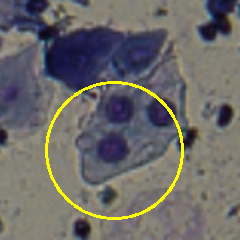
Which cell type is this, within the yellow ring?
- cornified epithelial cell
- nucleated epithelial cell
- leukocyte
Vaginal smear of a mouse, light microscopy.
Within the ring is a nucleated epithelial cell.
